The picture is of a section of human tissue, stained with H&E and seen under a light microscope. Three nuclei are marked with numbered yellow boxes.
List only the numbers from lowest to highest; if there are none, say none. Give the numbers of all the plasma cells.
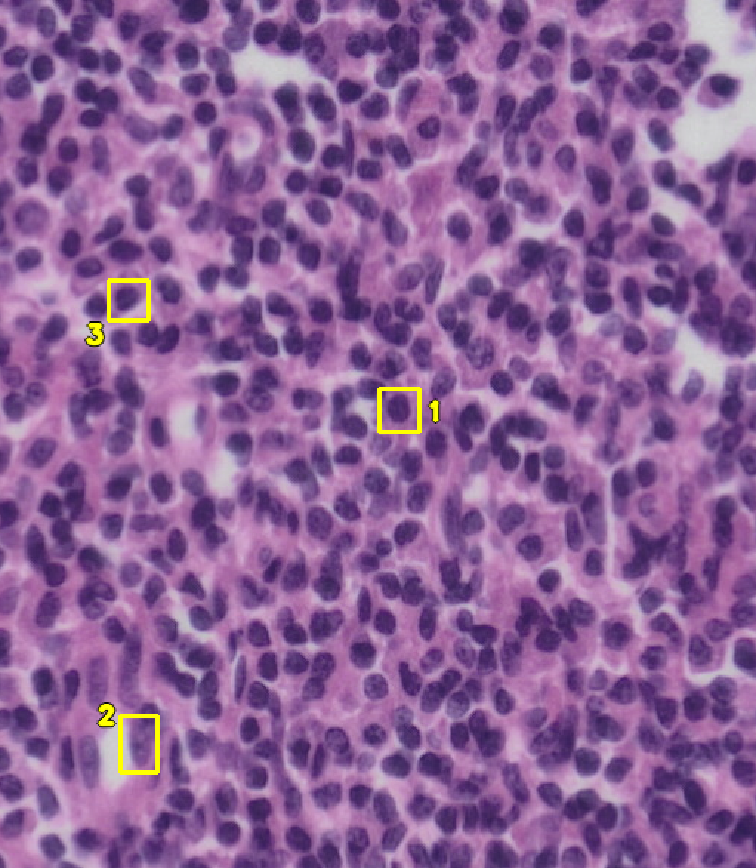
1, 3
